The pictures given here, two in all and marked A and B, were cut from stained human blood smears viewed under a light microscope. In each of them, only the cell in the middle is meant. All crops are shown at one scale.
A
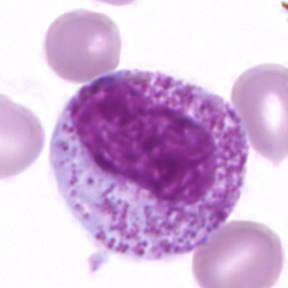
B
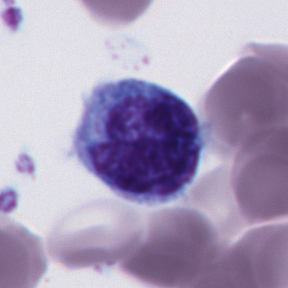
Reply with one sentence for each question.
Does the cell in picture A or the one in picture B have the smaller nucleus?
The nucleus in picture B is smaller; the one in picture A has about 1.5 times its area.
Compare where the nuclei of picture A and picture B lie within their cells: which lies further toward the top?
Seen within its cell, the nucleus in picture A lies further toward the top.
